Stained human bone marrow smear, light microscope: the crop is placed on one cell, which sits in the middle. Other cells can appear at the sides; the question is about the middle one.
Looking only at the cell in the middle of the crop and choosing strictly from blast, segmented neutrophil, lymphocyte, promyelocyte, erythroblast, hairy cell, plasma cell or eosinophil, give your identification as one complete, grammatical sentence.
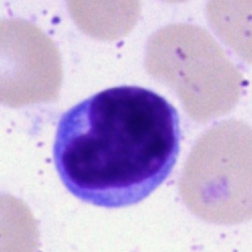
At the crop's centre, the cell is a lymphocyte.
